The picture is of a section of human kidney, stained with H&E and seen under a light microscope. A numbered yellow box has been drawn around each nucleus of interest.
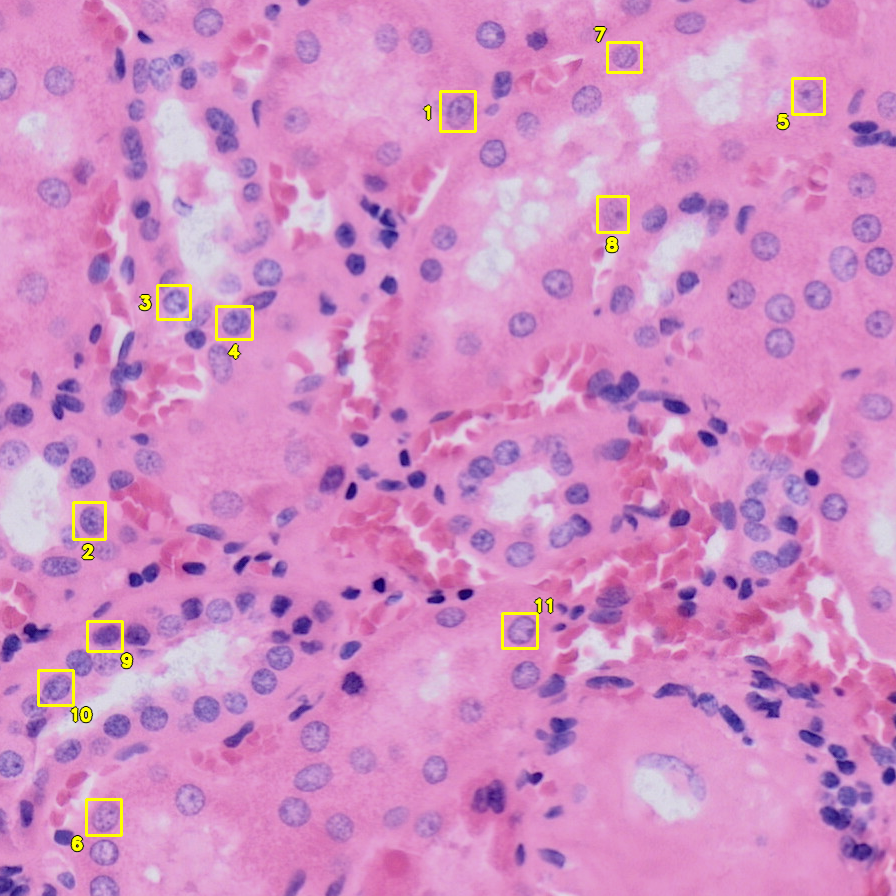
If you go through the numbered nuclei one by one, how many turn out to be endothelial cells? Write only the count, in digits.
0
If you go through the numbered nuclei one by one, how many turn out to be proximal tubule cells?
6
